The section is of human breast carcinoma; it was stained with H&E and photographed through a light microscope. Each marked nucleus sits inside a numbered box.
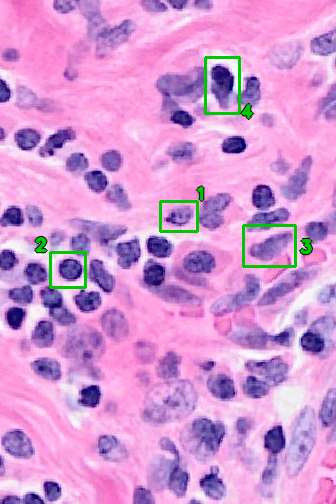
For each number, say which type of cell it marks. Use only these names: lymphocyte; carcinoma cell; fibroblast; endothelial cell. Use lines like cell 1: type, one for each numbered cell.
cell 1: lymphocyte
cell 2: lymphocyte
cell 3: endothelial cell
cell 4: lymphocyte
